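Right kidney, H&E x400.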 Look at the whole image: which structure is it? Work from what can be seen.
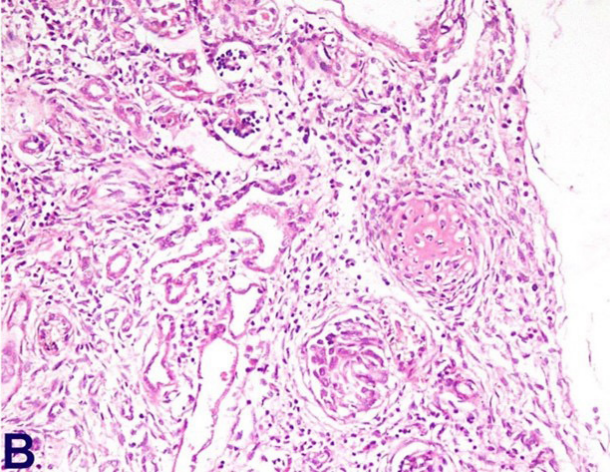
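Islands of cartilage. On the right side there is a rounded nodule of pale pink, glassy matrix. Cells sit in small clear spaces within this matrix. The nodule is rimmed by concentric spindle cells among the renal tissue.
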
